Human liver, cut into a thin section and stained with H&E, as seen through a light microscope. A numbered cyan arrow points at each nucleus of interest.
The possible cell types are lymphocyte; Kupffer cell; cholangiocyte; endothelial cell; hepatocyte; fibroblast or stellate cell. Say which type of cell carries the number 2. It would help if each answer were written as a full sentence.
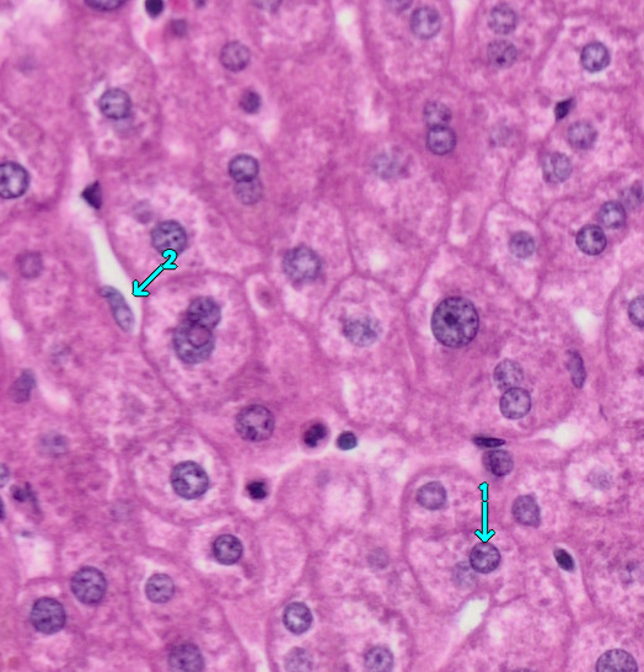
Here, the cell given the number 2 is a Kupffer cell.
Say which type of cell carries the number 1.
The cell that goes by number 1 is a hepatocyte.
